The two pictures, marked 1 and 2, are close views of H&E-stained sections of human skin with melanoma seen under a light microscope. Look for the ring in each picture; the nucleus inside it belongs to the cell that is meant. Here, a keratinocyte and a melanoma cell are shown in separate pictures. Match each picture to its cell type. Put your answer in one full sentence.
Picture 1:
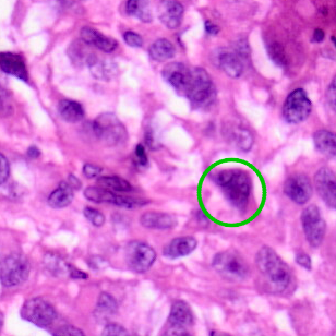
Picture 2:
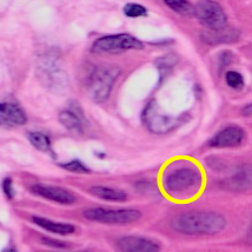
Picture 1 shows a melanoma cell and picture 2 shows a keratinocyte.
